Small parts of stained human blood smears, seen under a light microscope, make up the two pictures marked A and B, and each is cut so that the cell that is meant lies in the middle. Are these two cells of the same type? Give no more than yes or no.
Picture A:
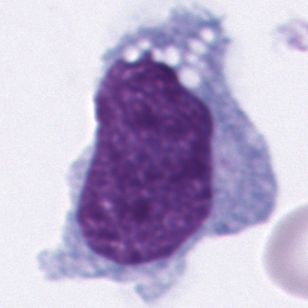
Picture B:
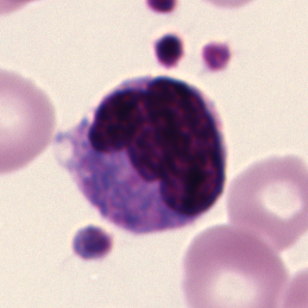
yes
